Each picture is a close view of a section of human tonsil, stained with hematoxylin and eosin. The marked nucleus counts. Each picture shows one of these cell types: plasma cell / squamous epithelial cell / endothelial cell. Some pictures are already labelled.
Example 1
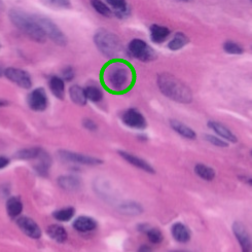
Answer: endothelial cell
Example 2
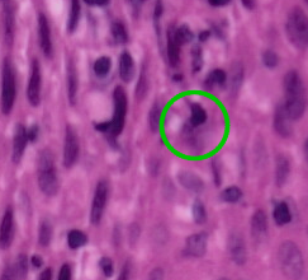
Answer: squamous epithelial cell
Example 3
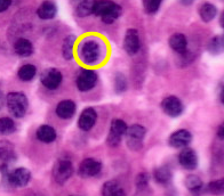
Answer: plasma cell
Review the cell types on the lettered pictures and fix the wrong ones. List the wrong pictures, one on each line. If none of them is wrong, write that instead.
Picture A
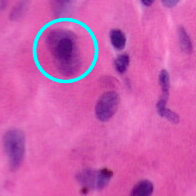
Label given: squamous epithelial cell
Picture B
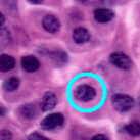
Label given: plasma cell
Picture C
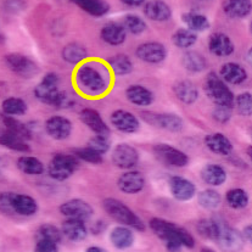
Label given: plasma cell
A: not squamous epithelial cell but endothelial cell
